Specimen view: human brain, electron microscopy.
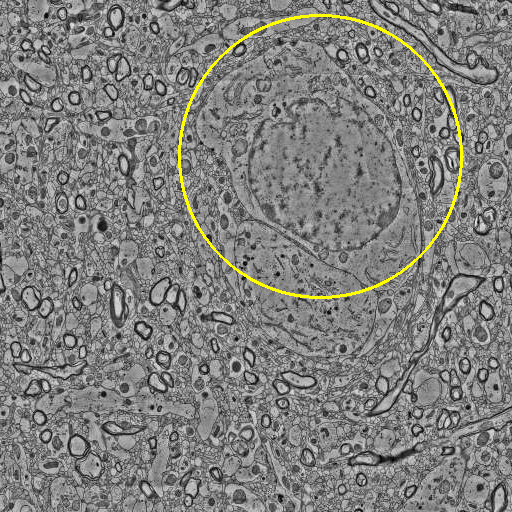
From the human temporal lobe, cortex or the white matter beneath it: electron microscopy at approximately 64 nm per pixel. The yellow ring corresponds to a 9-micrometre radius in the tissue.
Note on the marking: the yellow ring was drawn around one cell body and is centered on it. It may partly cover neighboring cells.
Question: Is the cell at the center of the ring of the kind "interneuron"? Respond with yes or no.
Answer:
yes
